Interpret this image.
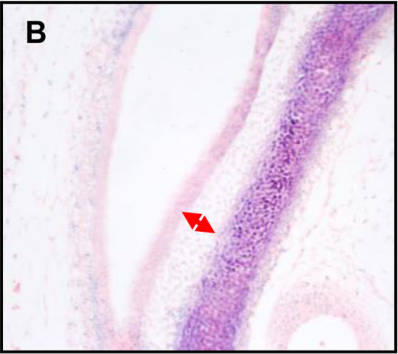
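A broad band of densely packed, purple-stained mesenchymal cells runs along the airway without any division into separate blocks, and a pale, loosely cellular band lies between it and the thin epithelium lining the lumen. This is an unsegmented sheet of pre-cartilaginous condensation set apart from the epithelium by a distinct gap.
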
